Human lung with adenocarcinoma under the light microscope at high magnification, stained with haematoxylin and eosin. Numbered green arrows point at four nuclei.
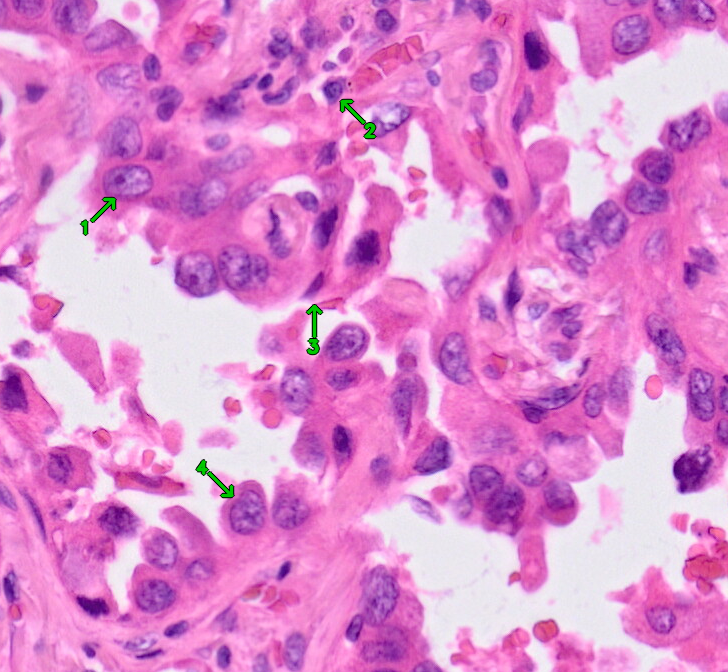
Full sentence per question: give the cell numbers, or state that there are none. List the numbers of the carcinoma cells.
The cells referred to by numbers 1, 3 and 4 are carcinoma cells.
